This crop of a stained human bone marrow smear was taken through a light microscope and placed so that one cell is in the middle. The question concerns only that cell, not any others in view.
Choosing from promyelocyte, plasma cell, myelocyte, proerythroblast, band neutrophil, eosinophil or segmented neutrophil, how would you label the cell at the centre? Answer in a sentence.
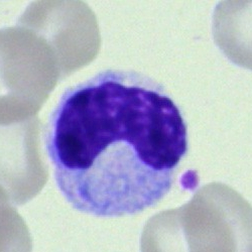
The centrally placed cell is classified as a band neutrophil.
